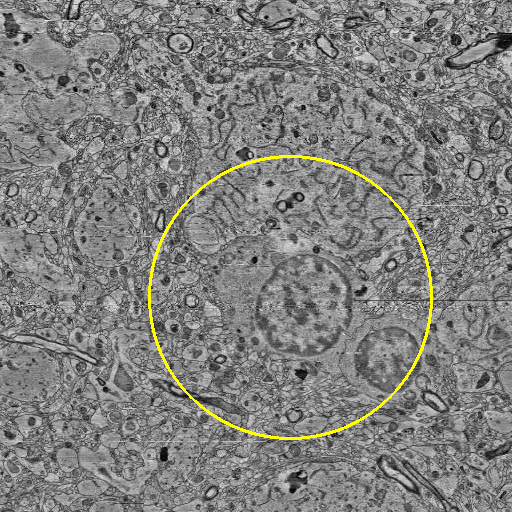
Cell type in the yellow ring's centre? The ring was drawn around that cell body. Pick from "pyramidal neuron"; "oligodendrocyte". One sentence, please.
The ringed cell body is that of an oligodendrocyte.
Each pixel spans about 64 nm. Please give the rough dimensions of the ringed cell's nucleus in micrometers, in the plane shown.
The ringed cell's nucleus measures approximately 7 by 6 micrometres in this plane.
